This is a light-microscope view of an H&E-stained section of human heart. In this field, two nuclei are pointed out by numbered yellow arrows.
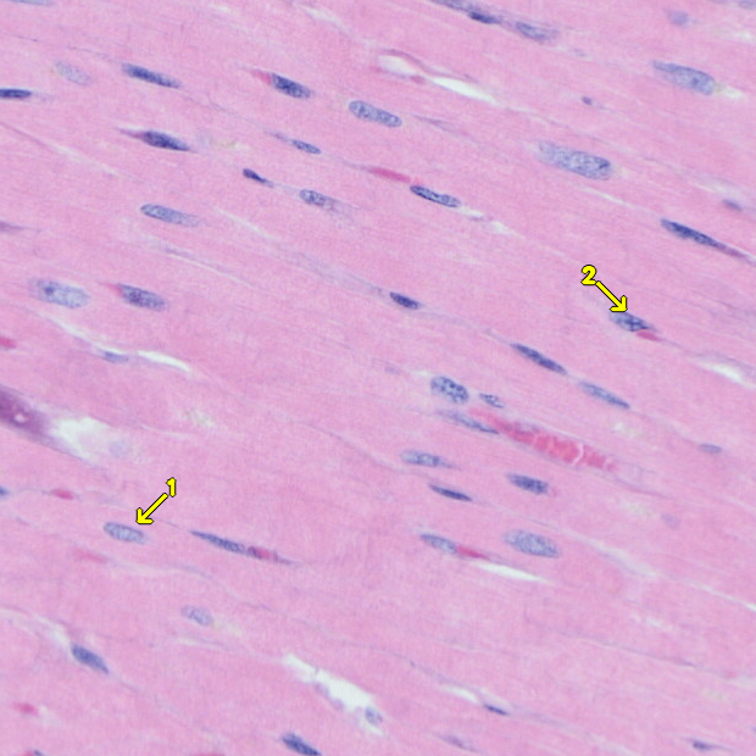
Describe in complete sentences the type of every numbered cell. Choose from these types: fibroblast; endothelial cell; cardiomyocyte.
Cell 1 is a cardiomyocyte. Cell 2 is an endothelial cell.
